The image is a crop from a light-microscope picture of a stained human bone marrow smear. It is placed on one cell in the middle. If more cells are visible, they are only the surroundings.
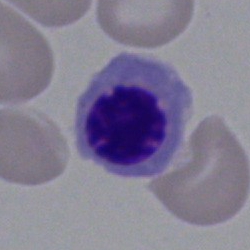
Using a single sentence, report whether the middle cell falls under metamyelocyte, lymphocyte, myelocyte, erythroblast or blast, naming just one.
The cell found in the middle of this crop is an erythroblast.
